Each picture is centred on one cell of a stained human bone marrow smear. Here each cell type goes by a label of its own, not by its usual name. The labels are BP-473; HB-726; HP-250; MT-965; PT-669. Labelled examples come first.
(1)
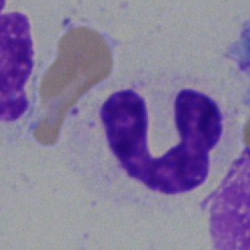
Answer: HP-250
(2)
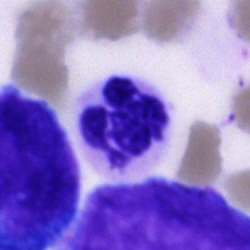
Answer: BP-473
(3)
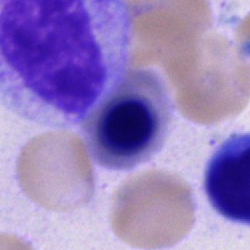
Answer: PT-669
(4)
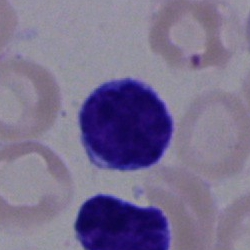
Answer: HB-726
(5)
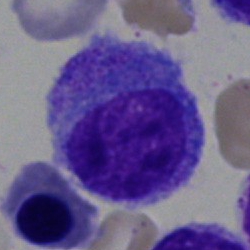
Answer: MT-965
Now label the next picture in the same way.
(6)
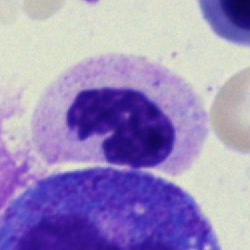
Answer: HP-250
